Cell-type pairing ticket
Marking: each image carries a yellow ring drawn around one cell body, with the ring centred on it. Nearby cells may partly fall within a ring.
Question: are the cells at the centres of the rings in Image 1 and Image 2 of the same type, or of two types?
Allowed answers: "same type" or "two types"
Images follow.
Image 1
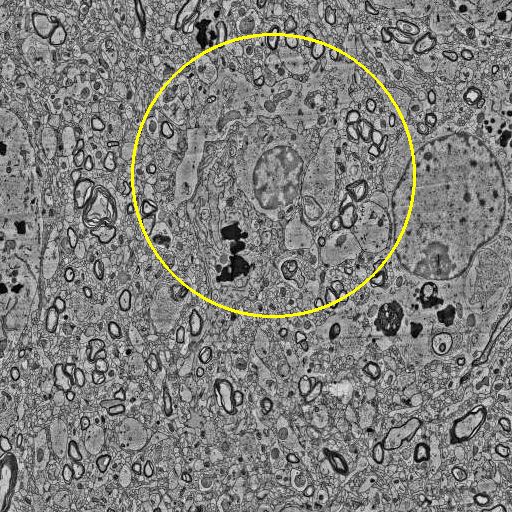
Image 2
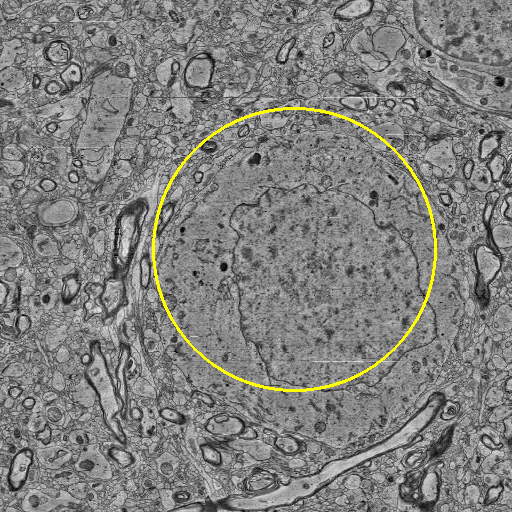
two types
